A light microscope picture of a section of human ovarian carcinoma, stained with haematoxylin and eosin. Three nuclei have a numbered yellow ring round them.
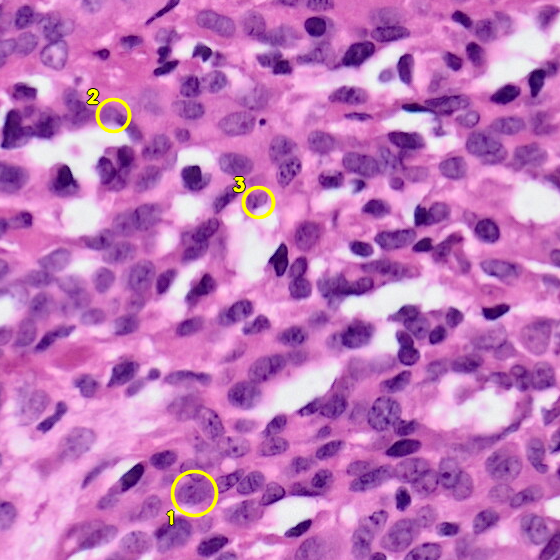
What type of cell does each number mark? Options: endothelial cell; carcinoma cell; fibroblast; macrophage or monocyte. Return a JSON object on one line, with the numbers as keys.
{"1": "carcinoma cell", "2": "carcinoma cell", "3": "macrophage or monocyte"}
